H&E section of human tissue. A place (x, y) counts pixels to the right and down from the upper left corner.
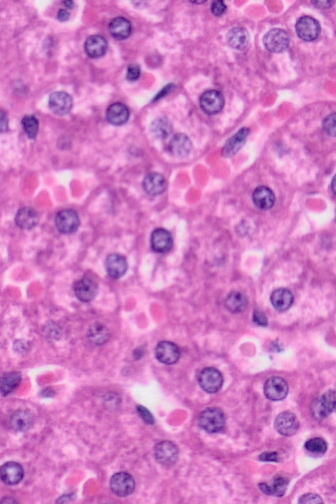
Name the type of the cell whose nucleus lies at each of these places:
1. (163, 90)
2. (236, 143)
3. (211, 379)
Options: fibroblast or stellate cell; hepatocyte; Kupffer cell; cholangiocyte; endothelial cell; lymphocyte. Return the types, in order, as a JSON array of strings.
["endothelial cell", "Kupffer cell", "hepatocyte"]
